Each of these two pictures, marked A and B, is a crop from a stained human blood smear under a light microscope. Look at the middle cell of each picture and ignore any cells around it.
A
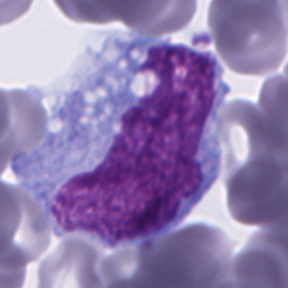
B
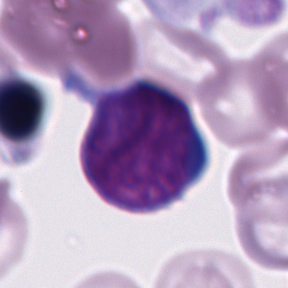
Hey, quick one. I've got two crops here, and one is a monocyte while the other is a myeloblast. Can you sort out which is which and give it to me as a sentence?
Crop A is a monocyte and crop B is a myeloblast.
